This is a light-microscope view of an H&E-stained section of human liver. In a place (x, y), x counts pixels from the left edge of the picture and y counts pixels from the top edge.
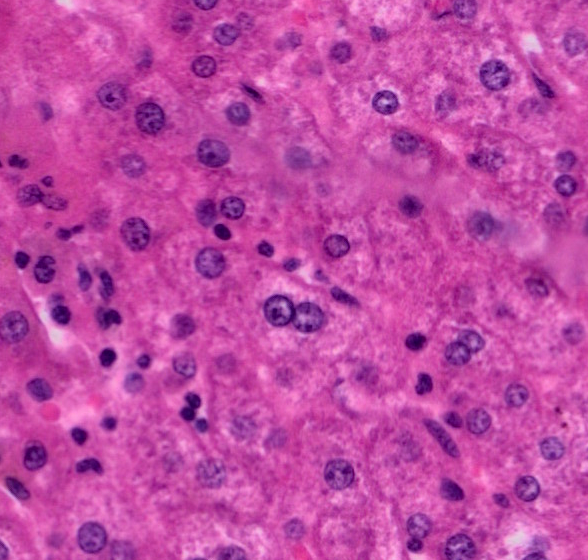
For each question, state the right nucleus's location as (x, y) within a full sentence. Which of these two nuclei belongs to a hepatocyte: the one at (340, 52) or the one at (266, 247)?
The nucleus at (340, 52) is part of a hepatocyte, while the other is not.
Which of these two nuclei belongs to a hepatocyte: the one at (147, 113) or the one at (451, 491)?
It is at (147, 113) that the nucleus of a hepatocyte is found.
